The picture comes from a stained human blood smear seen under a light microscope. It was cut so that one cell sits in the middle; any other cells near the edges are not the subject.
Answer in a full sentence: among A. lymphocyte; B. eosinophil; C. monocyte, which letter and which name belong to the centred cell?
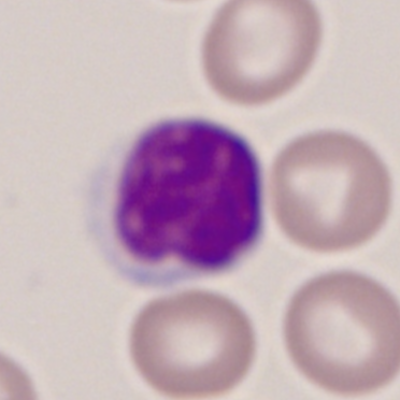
The cell in the centre of the crop is a lymphocyte, so option A is the correct one.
